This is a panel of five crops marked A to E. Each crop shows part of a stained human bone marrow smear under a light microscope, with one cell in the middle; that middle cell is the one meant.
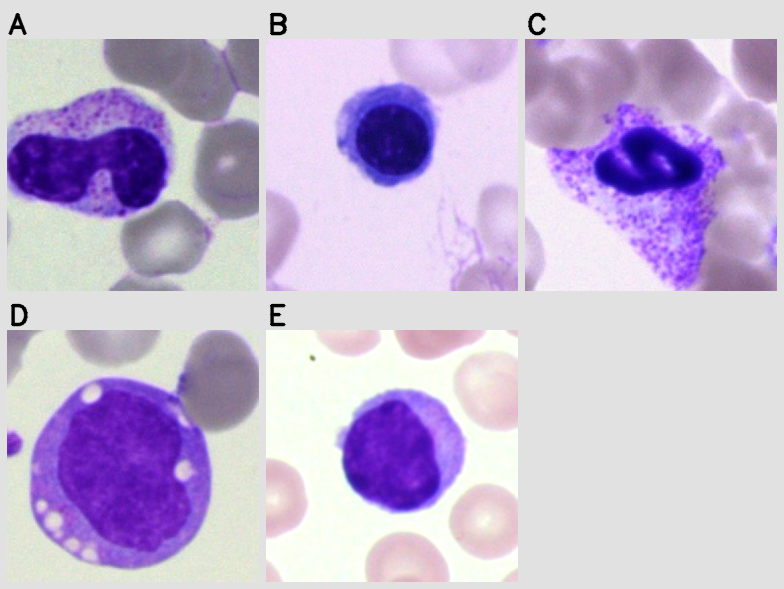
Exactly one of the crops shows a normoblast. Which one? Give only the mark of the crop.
B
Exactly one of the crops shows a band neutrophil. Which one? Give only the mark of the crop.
A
